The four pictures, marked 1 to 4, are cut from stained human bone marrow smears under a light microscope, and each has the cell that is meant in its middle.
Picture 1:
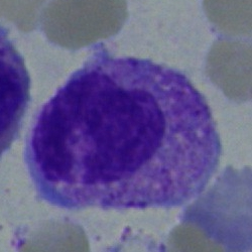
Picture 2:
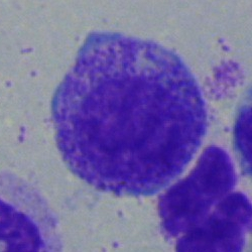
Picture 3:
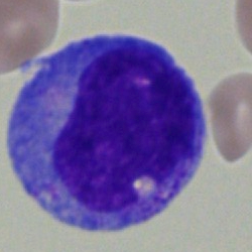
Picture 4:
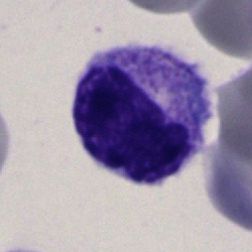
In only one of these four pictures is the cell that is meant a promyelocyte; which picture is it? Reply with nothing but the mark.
3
